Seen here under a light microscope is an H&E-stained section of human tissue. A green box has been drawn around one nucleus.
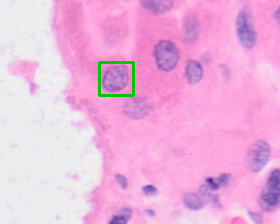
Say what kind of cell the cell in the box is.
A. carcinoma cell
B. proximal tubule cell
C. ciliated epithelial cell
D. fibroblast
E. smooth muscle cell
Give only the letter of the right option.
B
